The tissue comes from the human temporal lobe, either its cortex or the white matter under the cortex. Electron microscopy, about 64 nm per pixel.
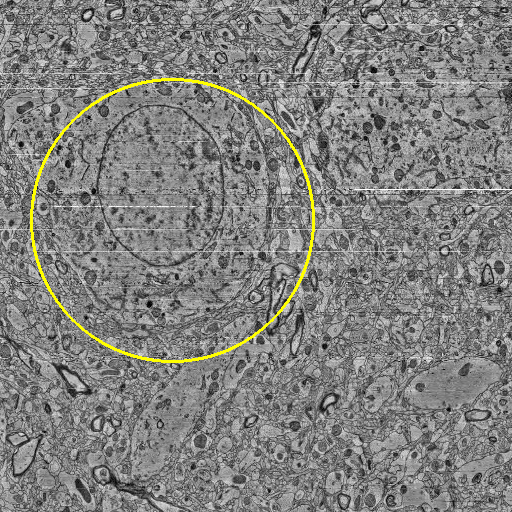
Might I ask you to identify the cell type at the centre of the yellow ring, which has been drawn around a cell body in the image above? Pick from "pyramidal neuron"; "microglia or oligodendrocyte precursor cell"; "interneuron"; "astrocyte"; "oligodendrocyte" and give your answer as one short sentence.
The centre of the ring falls on a pyramidal neuron.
